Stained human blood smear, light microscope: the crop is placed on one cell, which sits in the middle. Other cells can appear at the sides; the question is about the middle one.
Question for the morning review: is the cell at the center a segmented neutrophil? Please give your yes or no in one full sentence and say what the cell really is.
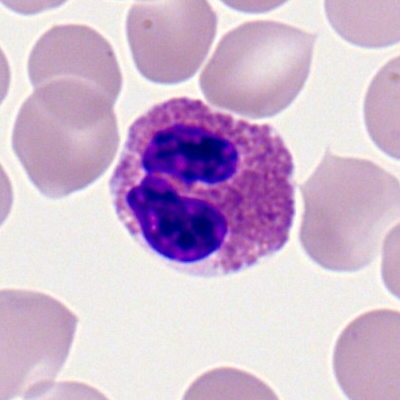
No, mark the middle cell as an eosinophil, not a segmented neutrophil.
